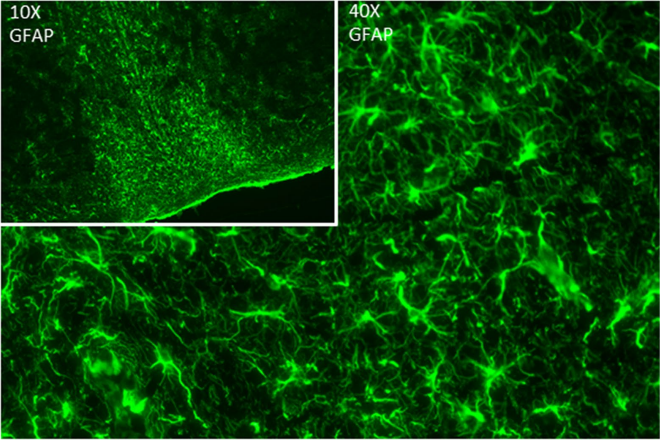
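This is brain tissue in which astrocytes are shown in green, each with a small cell body and many thin, branching processes radiating out like a star. The cells are spread fairly evenly through the field, their processes interweaving into a fine meshwork. In the low-power inset the green meshwork is densest along the bright lower edge of the tissue.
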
